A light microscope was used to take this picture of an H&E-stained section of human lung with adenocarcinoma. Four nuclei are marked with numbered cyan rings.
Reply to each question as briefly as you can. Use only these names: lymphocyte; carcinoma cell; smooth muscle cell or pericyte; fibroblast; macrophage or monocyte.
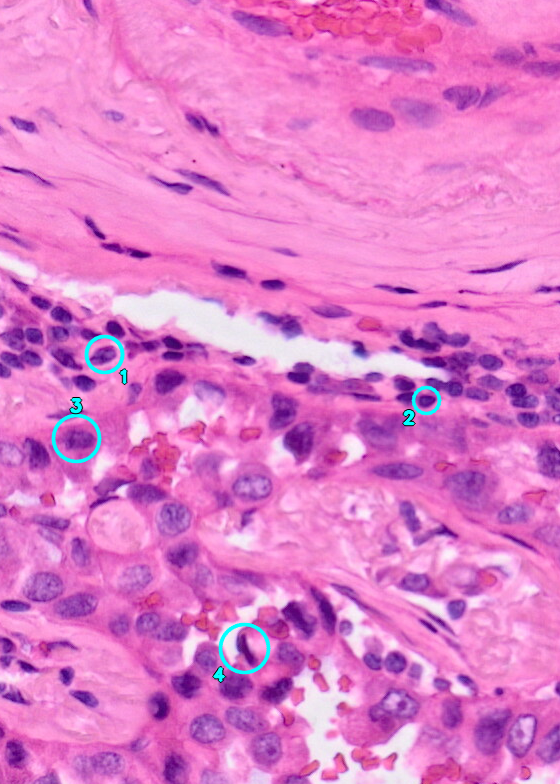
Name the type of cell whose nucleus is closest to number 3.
fibroblast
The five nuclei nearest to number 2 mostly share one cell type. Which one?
lymphocyte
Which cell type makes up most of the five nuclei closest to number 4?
carcinoma cell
